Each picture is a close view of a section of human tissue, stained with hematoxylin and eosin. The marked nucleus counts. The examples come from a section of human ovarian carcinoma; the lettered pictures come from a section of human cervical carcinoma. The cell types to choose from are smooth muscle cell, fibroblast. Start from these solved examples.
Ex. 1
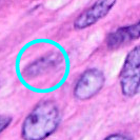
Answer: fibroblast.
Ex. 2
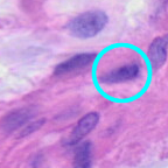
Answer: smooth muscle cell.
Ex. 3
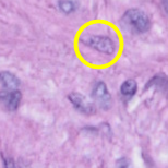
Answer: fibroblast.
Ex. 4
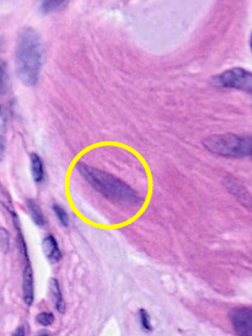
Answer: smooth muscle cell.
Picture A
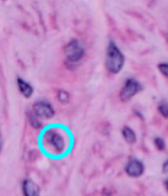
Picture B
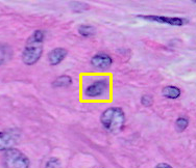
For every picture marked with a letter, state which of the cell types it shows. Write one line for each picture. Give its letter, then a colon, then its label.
A: smooth muscle cell.
B: smooth muscle cell.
